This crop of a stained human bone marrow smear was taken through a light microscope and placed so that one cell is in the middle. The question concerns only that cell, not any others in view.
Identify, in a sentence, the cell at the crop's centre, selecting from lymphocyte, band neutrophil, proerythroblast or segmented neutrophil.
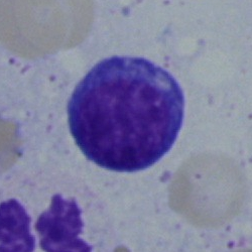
In the middle of this smear crop, the cell is a lymphocyte.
